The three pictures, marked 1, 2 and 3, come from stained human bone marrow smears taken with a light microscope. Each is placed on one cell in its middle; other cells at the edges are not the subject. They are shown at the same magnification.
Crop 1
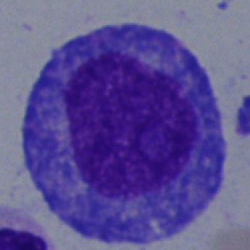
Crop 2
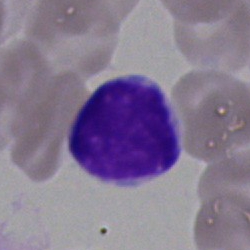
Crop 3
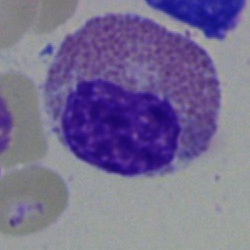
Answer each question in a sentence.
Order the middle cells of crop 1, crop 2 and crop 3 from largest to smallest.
Going down, they run 1, 3, 2.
